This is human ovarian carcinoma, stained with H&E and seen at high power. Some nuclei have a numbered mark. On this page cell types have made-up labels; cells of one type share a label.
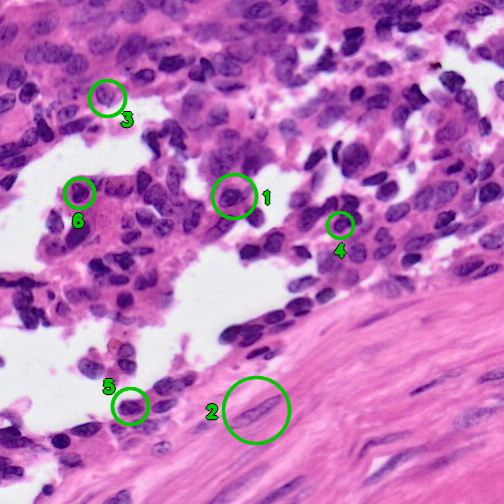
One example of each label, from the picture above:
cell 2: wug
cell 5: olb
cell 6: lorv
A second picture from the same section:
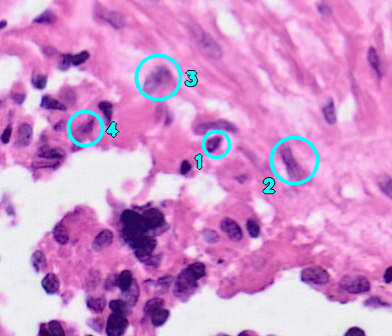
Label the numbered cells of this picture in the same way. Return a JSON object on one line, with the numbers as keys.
{"1": "wug", "2": "wug", "3": "wug", "4": "lorv"}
